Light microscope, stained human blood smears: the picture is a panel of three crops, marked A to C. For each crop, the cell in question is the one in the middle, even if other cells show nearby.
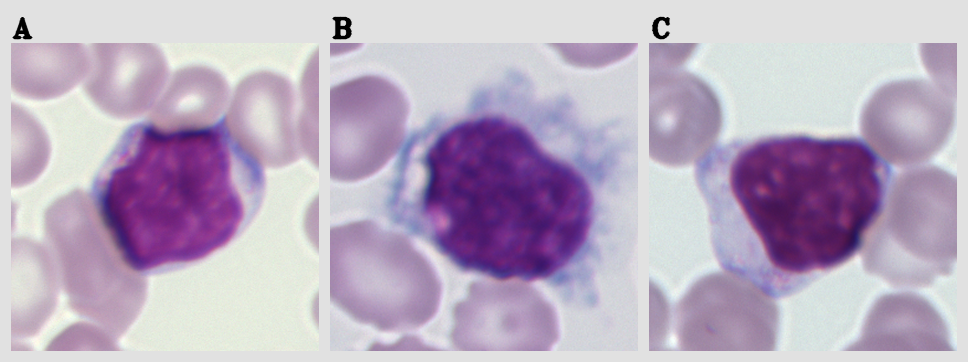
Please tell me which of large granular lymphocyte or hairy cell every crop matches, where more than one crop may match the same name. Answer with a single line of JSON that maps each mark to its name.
{"A": "large granular lymphocyte", "B": "hairy cell", "C": "large granular lymphocyte"}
